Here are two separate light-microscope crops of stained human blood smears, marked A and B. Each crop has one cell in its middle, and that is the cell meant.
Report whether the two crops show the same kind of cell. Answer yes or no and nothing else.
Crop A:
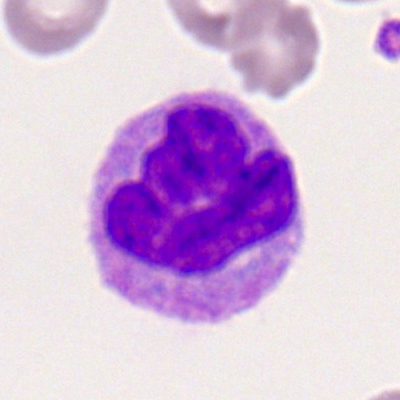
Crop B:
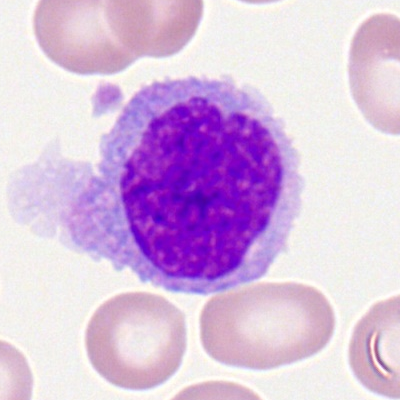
yes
